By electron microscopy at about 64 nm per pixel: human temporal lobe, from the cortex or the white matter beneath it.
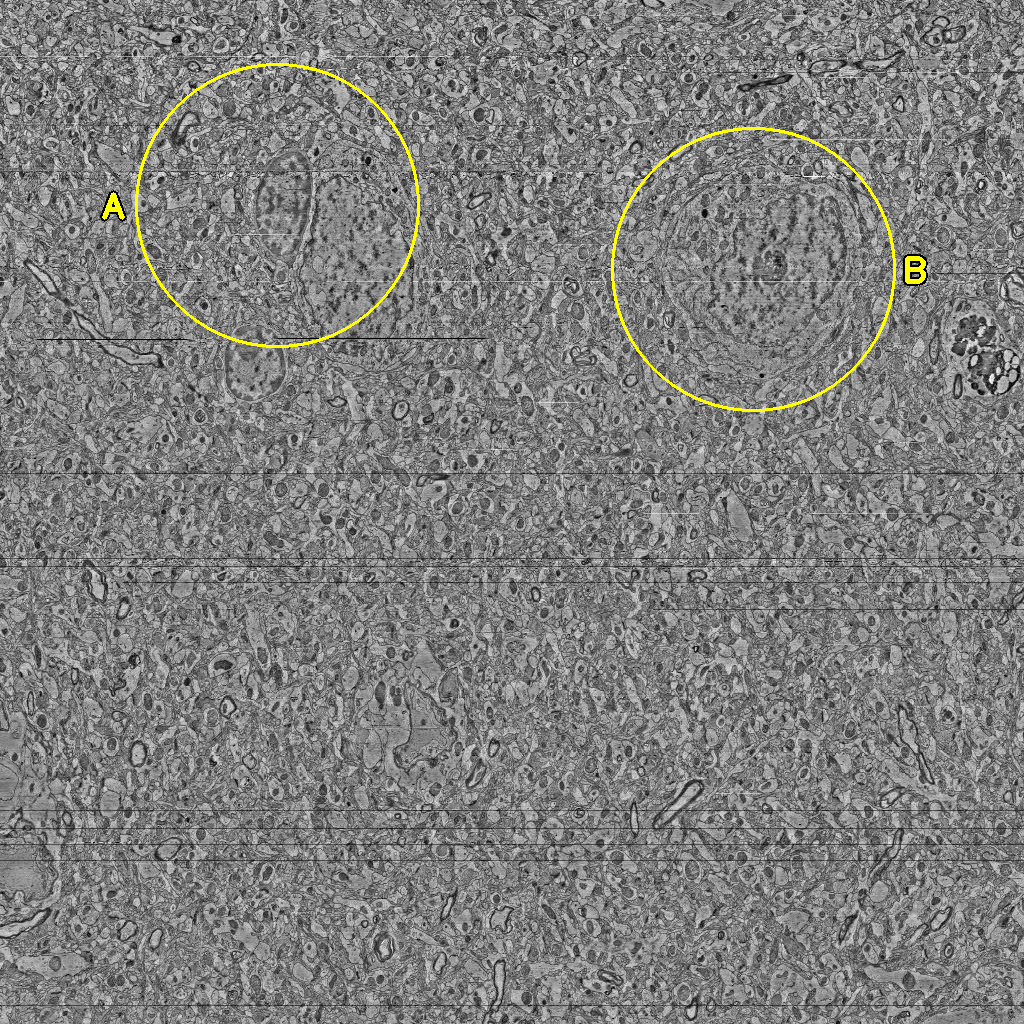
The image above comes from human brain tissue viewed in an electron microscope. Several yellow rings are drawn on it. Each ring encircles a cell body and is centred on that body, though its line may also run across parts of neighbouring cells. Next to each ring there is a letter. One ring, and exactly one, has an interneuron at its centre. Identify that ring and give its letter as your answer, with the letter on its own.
B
